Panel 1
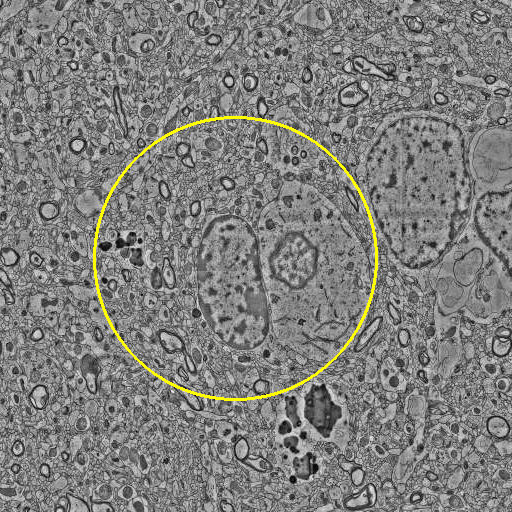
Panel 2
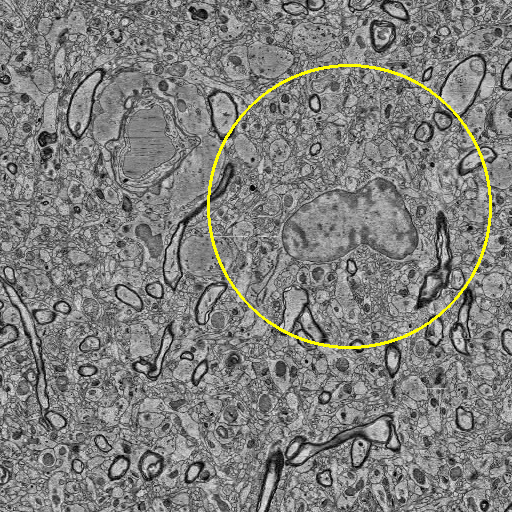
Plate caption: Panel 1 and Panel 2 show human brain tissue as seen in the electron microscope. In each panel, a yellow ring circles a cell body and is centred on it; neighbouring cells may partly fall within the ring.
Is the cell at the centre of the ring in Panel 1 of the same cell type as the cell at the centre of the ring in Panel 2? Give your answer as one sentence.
Yes, the two cells are of the same type.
